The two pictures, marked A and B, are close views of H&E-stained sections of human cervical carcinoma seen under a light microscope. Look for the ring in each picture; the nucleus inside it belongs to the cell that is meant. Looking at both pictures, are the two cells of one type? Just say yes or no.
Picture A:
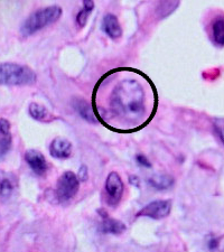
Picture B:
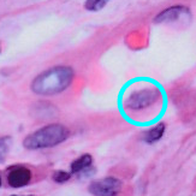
yes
